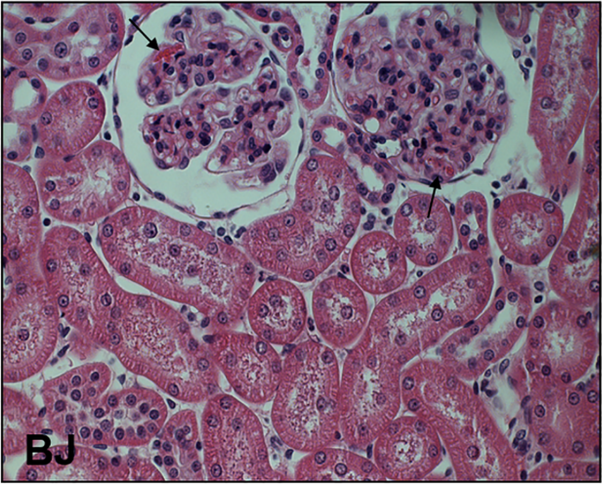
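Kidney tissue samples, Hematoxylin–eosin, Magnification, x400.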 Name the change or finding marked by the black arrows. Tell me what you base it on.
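The red material lies among the capillary loops, not in the tubules.
Hence: glomerular microthrombi deposit.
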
